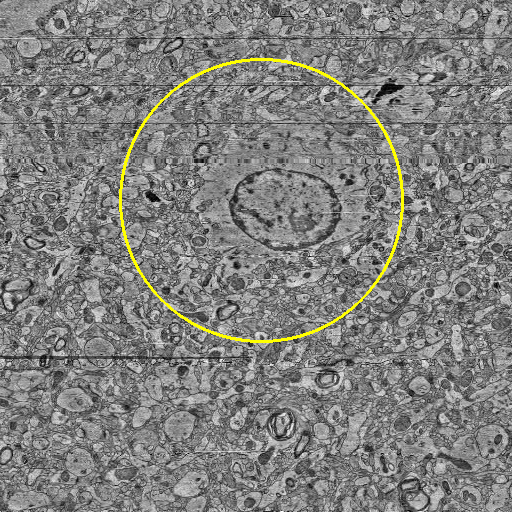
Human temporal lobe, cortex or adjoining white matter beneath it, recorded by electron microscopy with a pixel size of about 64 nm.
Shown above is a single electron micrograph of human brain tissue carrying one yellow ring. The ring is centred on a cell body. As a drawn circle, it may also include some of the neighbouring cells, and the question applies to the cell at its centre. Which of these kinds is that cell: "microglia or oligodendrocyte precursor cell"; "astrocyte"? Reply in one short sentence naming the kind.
The cell marked by the ring is an astrocyte.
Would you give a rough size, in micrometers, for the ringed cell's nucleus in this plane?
In this plane the nucleus is about 7 micrometres by 5.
